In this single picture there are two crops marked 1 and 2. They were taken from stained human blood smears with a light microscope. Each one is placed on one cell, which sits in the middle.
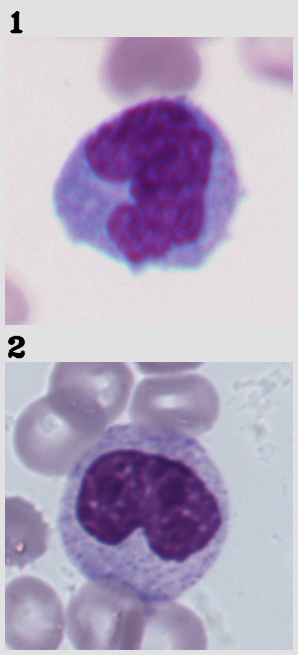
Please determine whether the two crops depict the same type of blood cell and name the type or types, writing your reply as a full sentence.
No, it is crop 1 that shows a monocyte, and crop 2 shows a metamyelocyte.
